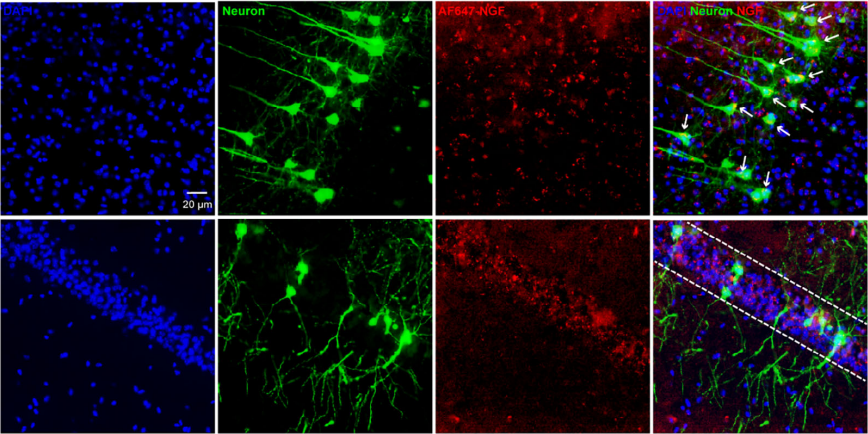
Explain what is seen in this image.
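In the cortex, green pyramidal neurons have triangular cell bodies with long apical dendrites running in parallel, scattered among many blue nuclei, and red puncta gather over several of the green cell bodies. In the hippocampus, the nuclei form a dense diagonal band of packed cells, with a few green neurons sending branching processes away from it and red signal concentrated along the band.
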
